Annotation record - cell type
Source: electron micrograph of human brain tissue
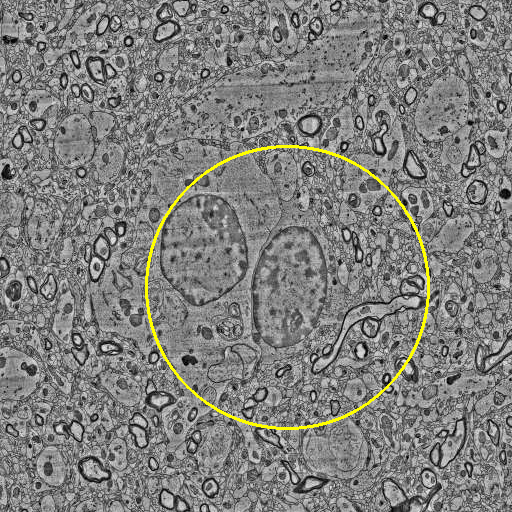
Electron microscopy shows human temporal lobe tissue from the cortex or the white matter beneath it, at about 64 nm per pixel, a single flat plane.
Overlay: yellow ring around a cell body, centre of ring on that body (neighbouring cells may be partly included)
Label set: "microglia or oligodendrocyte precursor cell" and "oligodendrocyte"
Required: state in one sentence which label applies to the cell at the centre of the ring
This cell should be labelled as an oligodendrocyte.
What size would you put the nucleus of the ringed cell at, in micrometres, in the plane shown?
Clearly longer than it is wide in this plane, the nucleus measures roughly 8 by 5 micrometres.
